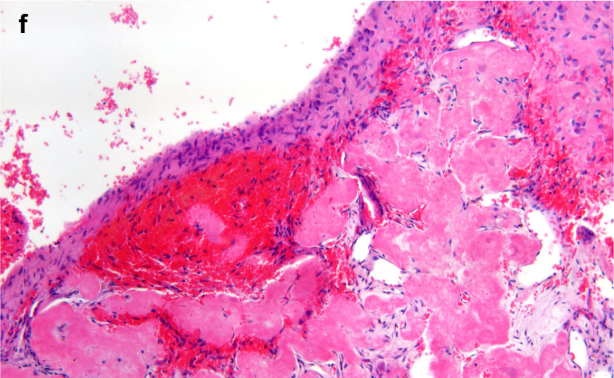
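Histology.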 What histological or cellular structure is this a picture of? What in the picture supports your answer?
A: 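A cavity filled with blood lined by connective tissue. Loose red blood cells lie in an open space at the upper left. A thin band of tissue with flattened nuclei borders the space. Extravasated red blood lies within the lining tissue.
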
